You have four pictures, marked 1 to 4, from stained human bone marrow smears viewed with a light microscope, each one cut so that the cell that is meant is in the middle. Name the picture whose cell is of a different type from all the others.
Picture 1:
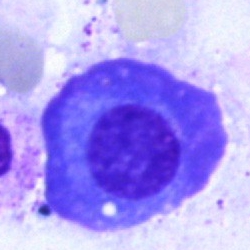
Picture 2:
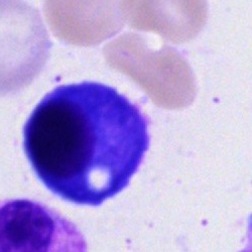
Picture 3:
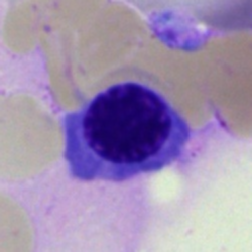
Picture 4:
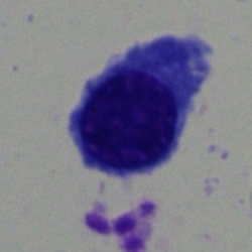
3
